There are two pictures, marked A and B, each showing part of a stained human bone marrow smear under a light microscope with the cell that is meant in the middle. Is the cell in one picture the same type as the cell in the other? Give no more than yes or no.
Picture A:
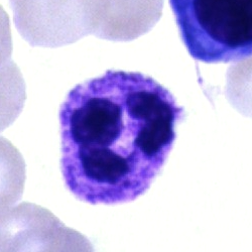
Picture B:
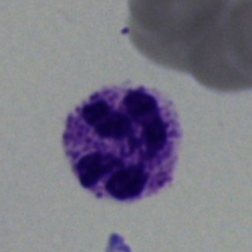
yes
